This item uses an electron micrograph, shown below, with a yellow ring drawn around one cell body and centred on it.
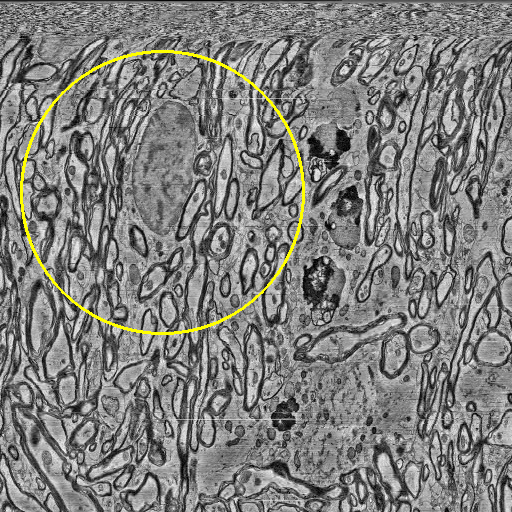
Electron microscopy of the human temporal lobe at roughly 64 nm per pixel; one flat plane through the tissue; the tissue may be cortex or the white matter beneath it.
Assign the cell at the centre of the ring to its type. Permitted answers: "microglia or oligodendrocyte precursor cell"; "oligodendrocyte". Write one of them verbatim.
oligodendrocyte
